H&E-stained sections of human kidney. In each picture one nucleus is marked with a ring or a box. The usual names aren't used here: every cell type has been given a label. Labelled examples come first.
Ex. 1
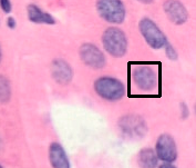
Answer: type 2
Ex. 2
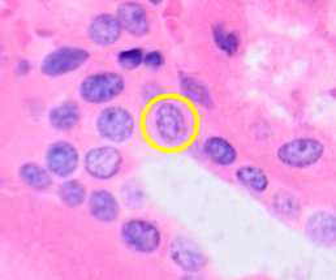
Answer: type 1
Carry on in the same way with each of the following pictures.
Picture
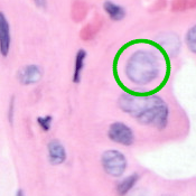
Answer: type 1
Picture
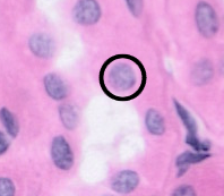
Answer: type 2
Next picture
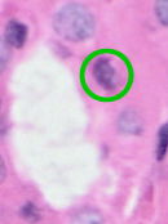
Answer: type 2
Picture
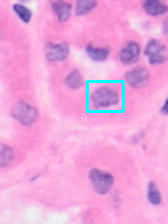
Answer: type 2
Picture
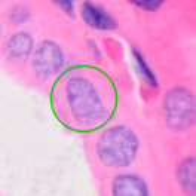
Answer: type 1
